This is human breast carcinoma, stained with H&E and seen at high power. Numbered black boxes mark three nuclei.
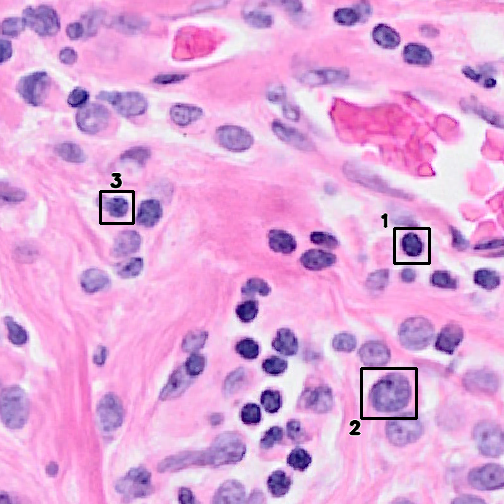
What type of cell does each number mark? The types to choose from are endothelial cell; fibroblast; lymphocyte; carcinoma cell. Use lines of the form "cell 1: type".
cell 1: lymphocyte
cell 2: carcinoma cell
cell 3: lymphocyte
